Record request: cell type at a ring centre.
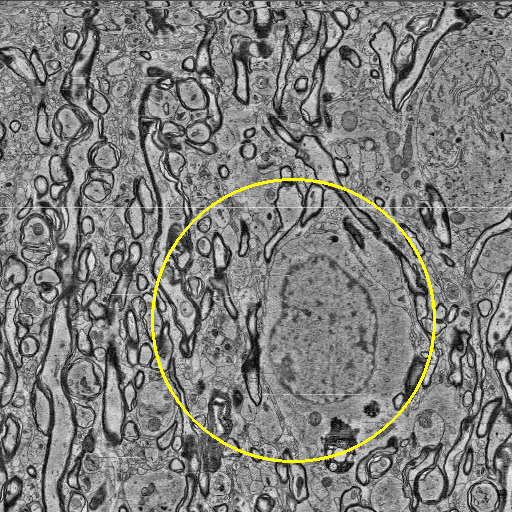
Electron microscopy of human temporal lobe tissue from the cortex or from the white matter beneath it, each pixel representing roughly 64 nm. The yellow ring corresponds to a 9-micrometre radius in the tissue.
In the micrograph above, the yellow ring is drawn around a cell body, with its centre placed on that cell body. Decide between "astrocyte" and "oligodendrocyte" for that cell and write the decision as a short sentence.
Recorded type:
The cell centred in the yellow ring is an astrocyte.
